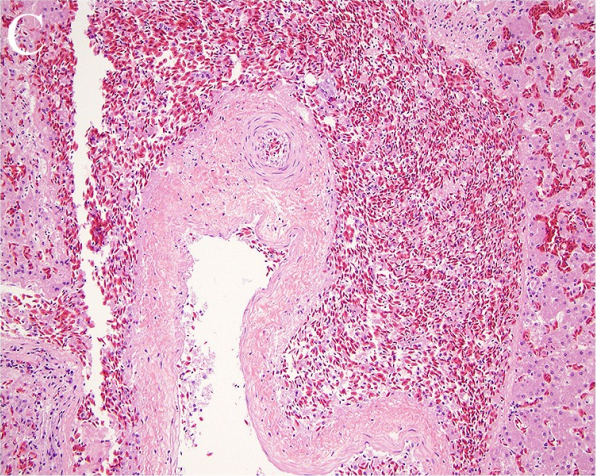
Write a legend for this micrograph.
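A section of liver shows a thick-walled artery at the centre with large numbers of erythrocytes lying outside its wall. The arterial wall is a pale pink, layered band with elongated nuclei that curves around a clear, empty lumen. Densely packed bright red-orange erythrocytes surround the vessel and spread outward into the neighbouring parenchyma. At the edges, paler pink hepatic tissue with scattered nuclei is intermixed with the extravasated red cells.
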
